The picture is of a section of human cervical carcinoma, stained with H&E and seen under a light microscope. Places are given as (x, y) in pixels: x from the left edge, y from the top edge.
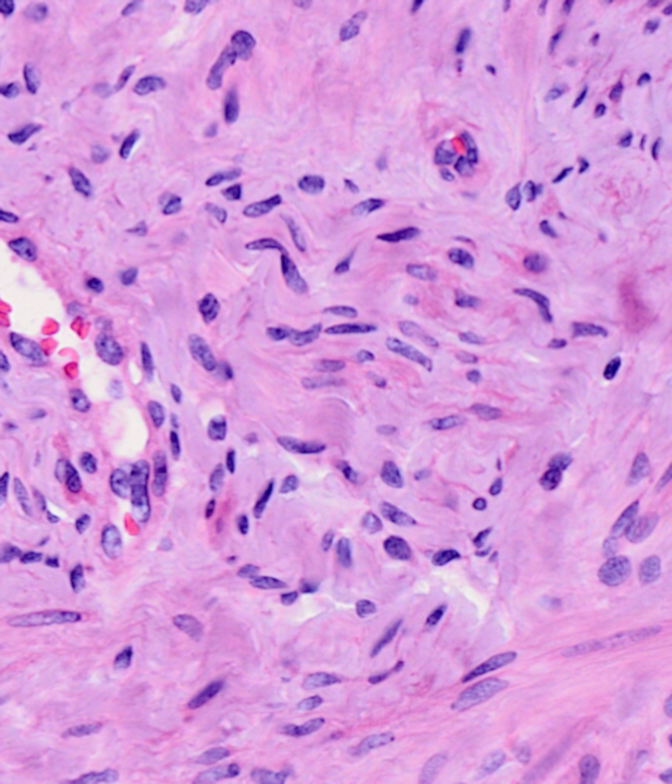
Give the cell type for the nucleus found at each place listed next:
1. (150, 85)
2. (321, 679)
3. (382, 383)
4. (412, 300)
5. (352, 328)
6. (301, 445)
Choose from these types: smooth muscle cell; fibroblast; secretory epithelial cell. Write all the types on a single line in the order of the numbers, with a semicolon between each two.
fibroblast; smooth muscle cell; smooth muscle cell; smooth muscle cell; fibroblast; fibroblast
